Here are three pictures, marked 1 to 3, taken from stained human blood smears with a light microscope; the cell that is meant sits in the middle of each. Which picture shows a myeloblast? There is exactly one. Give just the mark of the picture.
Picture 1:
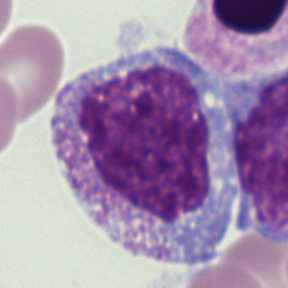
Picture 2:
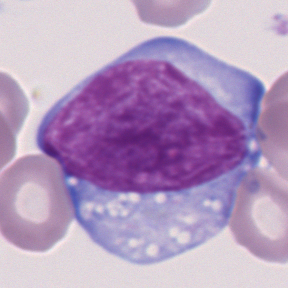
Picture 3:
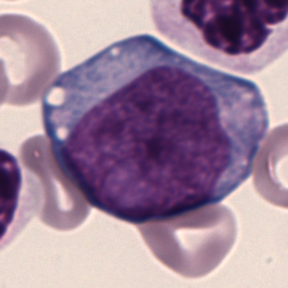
2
